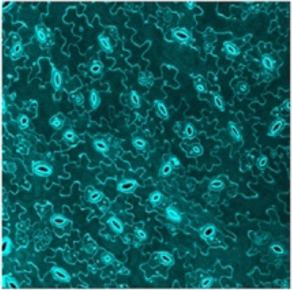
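The pavement cells have wavy interlocking outlines in cyan, but they appear smaller and more crowded than in a typical epidermis. Numerous stomata with bright paired guard cells around a central pore are densely spread across the field. Many small, rounded or triangular cells lie in groups between and beside the stomata.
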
